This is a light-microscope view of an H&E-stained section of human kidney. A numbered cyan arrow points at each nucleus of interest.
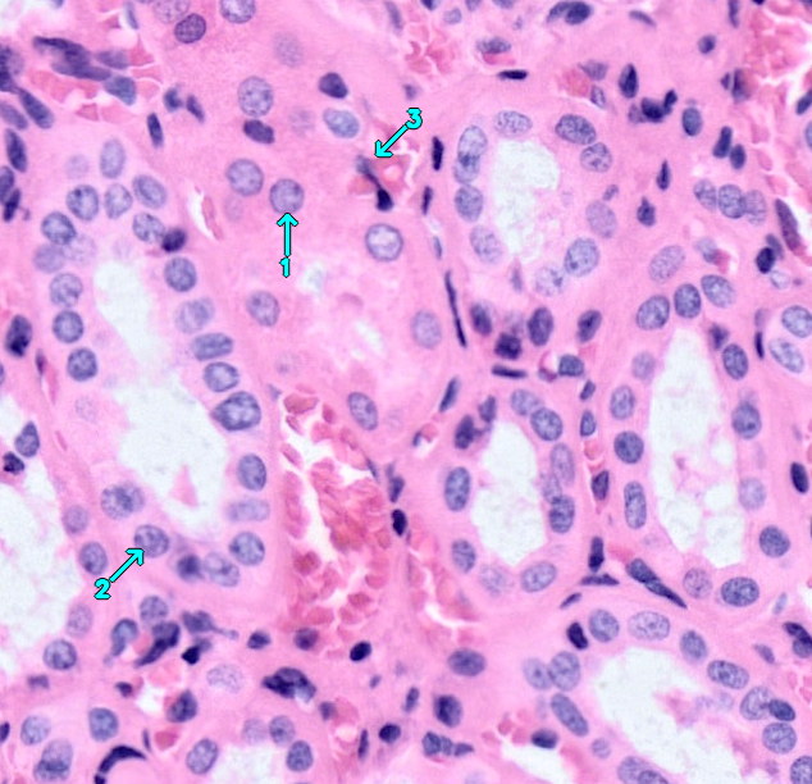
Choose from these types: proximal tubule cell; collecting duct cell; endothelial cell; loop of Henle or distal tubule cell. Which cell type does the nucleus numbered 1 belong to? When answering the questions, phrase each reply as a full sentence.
Identified by the number 1, the cell is a proximal tubule cell.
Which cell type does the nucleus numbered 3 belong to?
Denoted by the label 3 in the section is an endothelial cell.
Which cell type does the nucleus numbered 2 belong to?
Regarding cell 2, this one is a collecting duct cell.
